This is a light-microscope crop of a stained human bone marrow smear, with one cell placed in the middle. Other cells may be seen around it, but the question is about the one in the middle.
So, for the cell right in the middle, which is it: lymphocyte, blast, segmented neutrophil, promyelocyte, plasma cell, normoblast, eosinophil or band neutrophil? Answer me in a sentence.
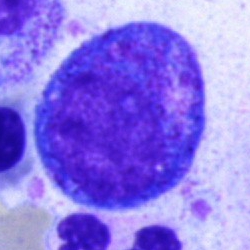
Answering briefly, the cell in the middle is a promyelocyte.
